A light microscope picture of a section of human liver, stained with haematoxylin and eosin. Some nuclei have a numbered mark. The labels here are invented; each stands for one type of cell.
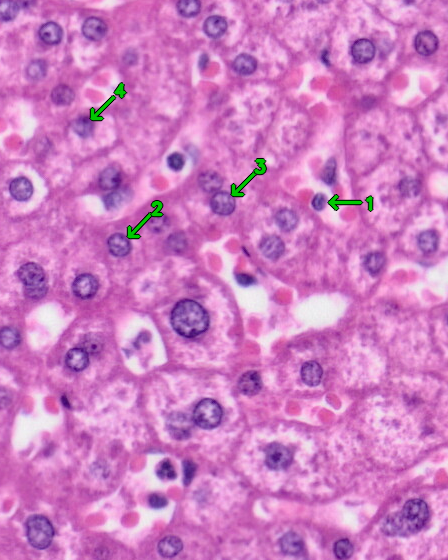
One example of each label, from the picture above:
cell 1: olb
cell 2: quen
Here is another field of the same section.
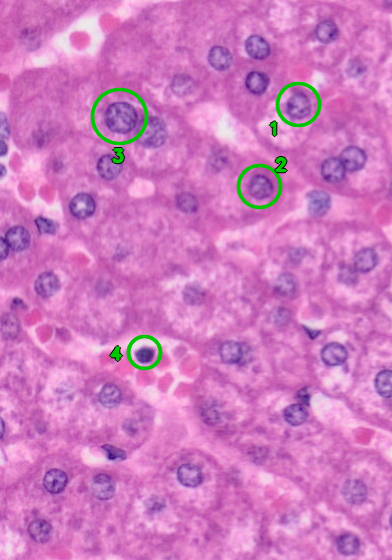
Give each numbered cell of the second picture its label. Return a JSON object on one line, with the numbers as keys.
{"1": "quen", "2": "quen", "3": "quen", "4": "olb"}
